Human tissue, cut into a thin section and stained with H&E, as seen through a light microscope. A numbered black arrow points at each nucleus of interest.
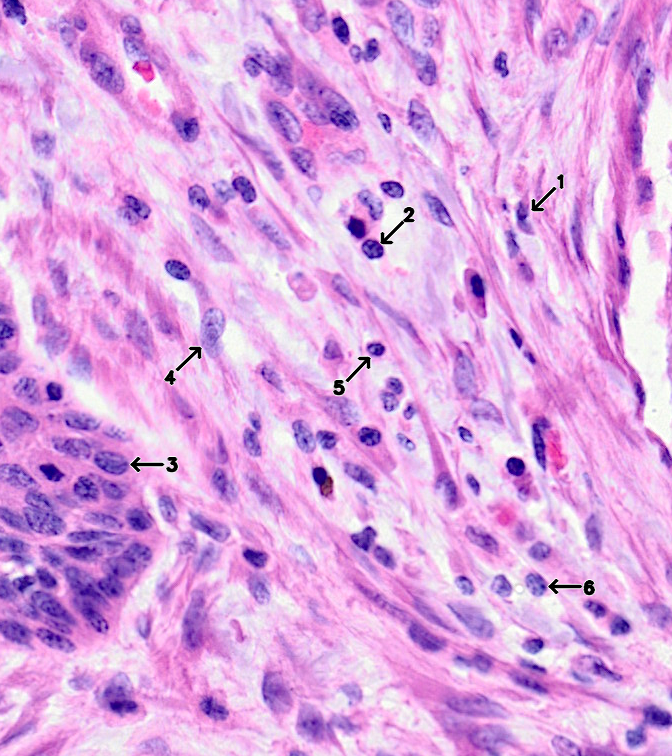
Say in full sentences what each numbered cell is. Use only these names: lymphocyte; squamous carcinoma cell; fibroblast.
Cells 1 and 4 are fibroblasts. Cells 2, 5 and 6 are lymphocytes. Cell 3 is a squamous carcinoma cell.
